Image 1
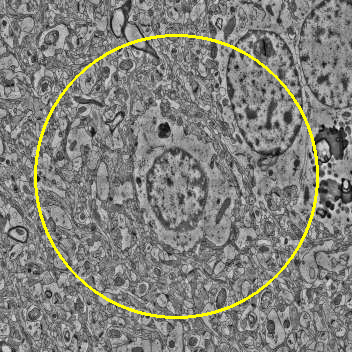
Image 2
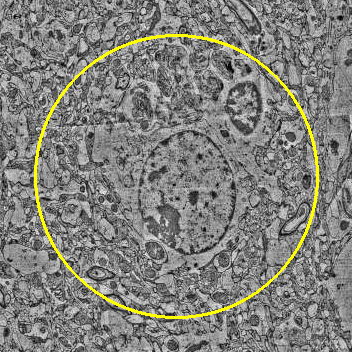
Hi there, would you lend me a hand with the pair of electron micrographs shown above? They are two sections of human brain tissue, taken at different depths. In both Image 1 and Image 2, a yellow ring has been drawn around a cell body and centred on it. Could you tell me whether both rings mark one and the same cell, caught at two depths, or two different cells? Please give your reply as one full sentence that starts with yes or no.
No, the first ring and the second ring mark different cells.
